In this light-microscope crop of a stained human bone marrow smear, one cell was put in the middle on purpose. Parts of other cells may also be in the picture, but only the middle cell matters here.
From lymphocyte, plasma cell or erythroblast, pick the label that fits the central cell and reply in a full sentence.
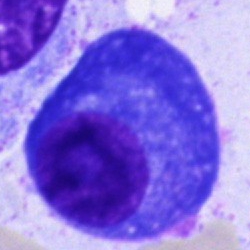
The cell featured at the centre of this crop is a plasma cell.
